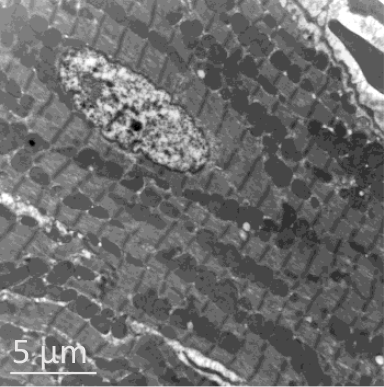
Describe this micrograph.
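Cardiomyocyte in longitudinal section showing myofibrils divided into regular sarcomeres by dark transverse lines. Rows of dark oval mitochondria lie between the myofibrils, and an elongated nucleus with granular chromatin sits in the upper left.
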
